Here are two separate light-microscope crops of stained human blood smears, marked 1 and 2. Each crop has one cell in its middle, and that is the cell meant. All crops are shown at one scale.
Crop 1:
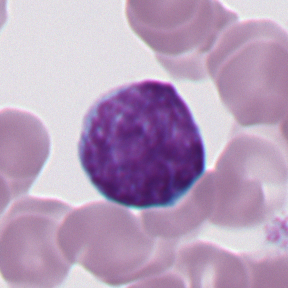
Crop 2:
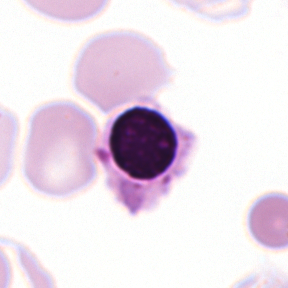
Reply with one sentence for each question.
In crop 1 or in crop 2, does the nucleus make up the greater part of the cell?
In crop 1 the nucleus takes up the larger part of its cell.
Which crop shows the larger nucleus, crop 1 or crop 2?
The nucleus in crop 1 is larger, with about 3 times the area of the one in crop 2.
